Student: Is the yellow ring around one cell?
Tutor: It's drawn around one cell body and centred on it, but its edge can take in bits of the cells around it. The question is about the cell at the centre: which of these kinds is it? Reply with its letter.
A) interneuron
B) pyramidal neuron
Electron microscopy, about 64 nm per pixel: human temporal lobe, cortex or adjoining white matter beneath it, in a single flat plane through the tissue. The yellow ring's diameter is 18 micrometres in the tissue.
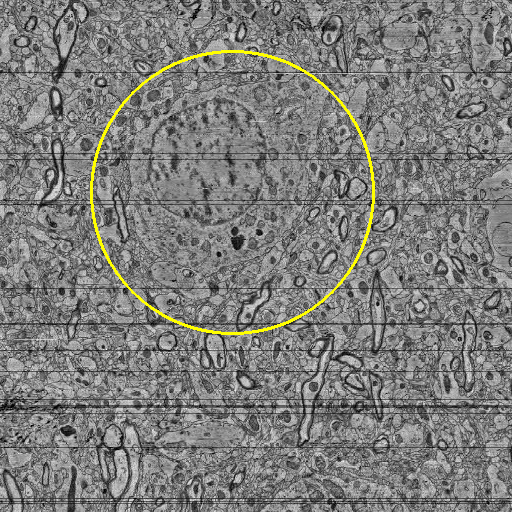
A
